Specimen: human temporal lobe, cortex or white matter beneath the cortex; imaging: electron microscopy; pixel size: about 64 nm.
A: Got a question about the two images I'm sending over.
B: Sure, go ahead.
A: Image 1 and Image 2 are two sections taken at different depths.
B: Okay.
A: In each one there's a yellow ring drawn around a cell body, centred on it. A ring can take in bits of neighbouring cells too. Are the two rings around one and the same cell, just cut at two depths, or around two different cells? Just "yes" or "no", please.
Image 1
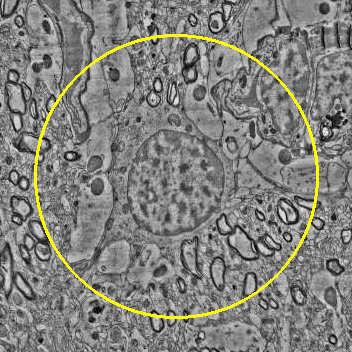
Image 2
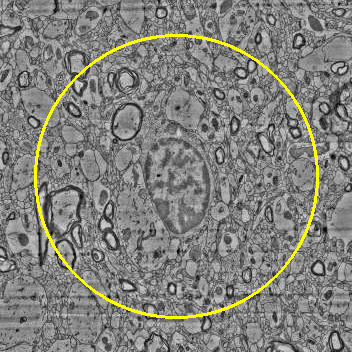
no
